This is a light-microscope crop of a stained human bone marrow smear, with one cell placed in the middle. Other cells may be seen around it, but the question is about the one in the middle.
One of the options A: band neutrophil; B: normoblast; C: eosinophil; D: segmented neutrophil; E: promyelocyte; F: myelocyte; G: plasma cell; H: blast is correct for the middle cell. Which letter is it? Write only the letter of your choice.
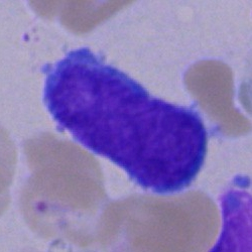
H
